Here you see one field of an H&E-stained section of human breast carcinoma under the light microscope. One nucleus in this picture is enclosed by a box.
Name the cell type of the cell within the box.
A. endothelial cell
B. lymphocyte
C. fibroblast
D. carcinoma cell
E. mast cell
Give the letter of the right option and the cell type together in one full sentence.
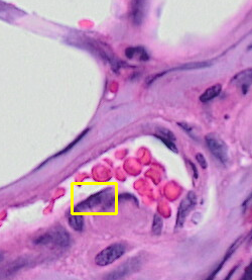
Option A is the correct one, since the cell within the box is an endothelial cell.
